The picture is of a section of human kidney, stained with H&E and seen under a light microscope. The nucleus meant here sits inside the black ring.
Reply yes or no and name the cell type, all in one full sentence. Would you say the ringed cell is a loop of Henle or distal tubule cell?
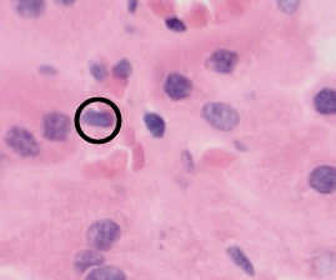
No, what the ringed cell represents is an endothelial cell rather than a loop of Henle or distal tubule cell.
